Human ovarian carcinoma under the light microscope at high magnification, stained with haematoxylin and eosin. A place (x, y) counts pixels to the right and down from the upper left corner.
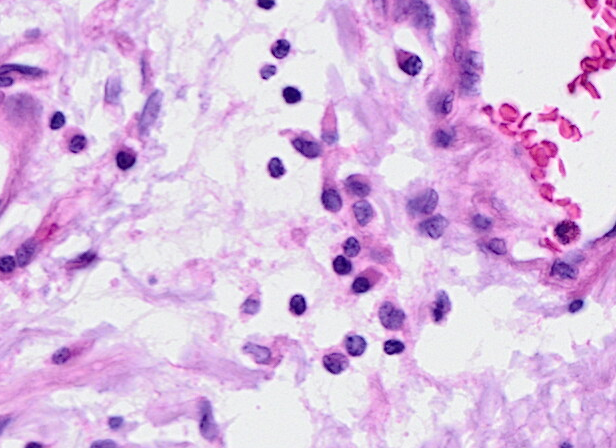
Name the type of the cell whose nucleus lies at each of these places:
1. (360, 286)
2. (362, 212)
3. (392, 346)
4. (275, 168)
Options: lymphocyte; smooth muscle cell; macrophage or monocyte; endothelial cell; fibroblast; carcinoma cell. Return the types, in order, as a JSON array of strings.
["lymphocyte", "macrophage or monocyte", "lymphocyte", "lymphocyte"]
